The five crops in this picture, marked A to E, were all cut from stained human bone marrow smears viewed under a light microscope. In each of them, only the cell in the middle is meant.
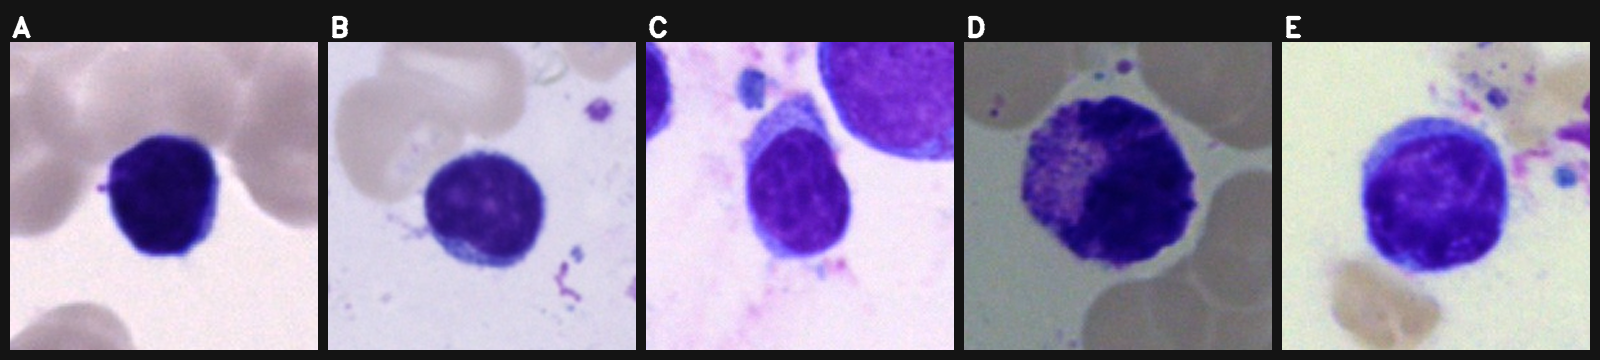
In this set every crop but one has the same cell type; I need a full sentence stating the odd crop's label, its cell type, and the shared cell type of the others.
Crop D, showing a basophil, is the exception; the others all show lymphocytes.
